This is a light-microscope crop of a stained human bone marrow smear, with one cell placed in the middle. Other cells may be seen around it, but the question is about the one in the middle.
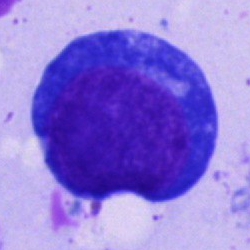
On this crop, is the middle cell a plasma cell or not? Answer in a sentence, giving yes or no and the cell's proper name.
No, rather than being a plasma cell, the central cell is a proerythroblast.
